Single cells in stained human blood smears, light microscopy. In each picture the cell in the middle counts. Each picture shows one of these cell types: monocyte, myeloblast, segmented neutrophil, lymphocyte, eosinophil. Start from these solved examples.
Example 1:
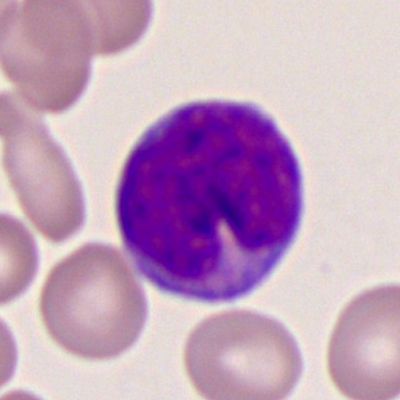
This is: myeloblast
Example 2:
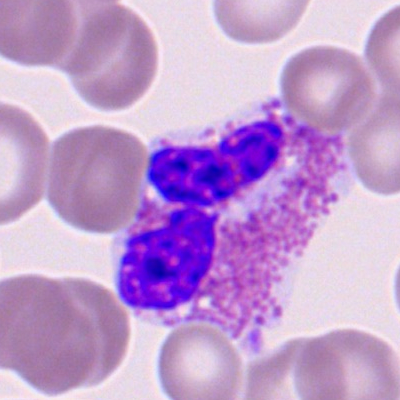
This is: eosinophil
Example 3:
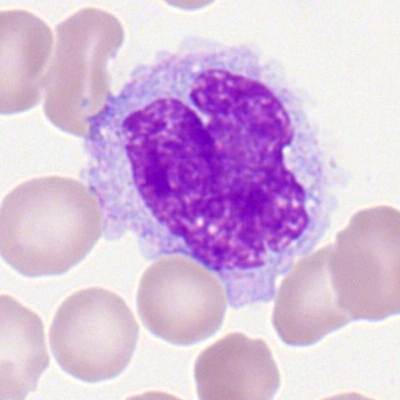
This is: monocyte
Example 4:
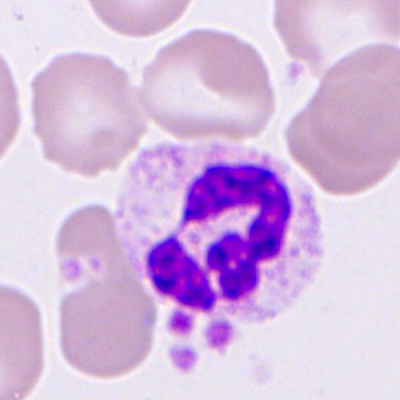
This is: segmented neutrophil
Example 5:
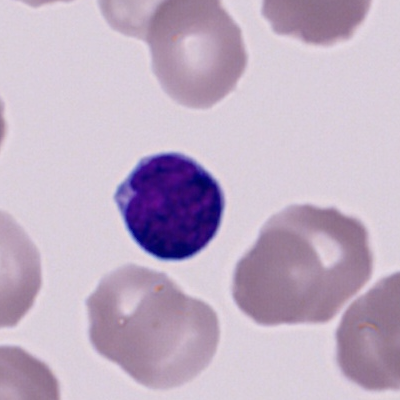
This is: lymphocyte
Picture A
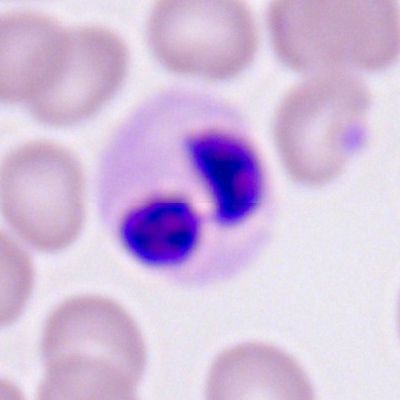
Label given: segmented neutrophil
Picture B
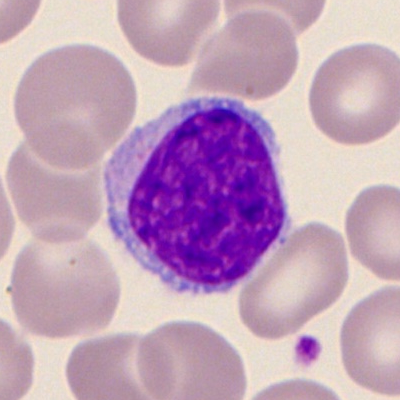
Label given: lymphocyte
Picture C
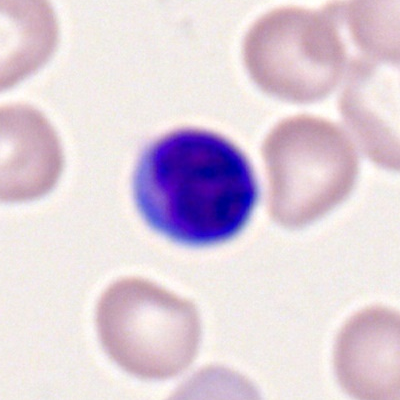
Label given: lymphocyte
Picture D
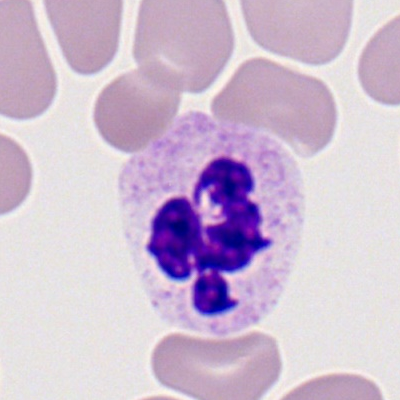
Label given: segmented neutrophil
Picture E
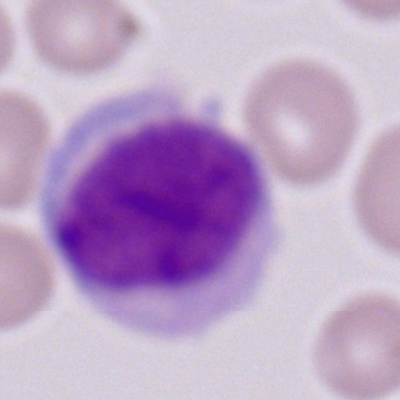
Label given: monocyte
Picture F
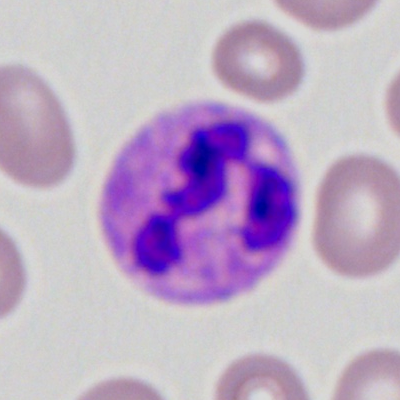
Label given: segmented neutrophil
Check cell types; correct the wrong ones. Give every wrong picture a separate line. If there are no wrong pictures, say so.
Every label is right.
